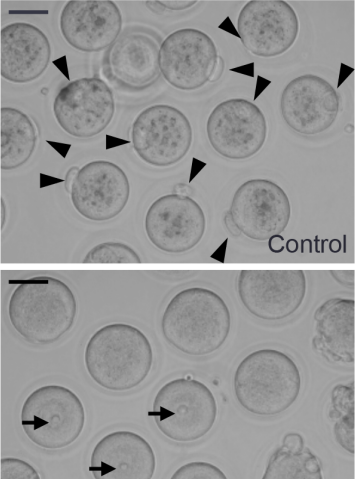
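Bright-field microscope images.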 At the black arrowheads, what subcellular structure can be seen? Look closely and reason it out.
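Small round bodies sit against the surface of large round cells. So: polar bodies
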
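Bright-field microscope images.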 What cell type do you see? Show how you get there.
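Oocytes. Granular cytoplasm filling each cell.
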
